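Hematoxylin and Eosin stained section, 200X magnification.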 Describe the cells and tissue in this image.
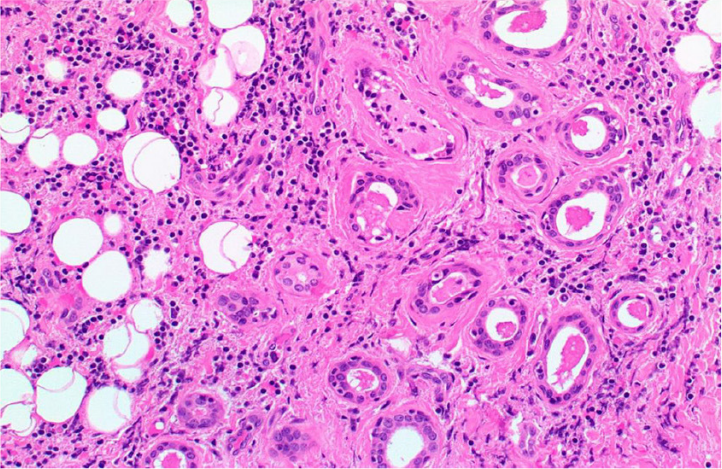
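This shows malignant glands infiltrating adipose tissue. Toward the right, many small round to oval glands with open lumens are scattered through pink collagenous stroma. They are lined by one or a few layers of cuboidal cells with enlarged purple nuclei, and some lumens hold pink secretion. Small dark round inflammatory cells are sprinkled densely through the stroma between the glands and in among the fat spaces.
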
